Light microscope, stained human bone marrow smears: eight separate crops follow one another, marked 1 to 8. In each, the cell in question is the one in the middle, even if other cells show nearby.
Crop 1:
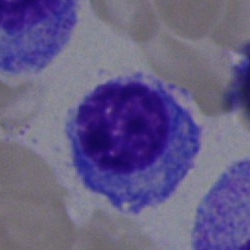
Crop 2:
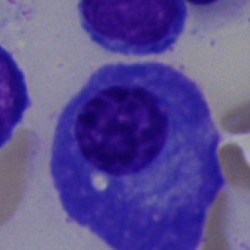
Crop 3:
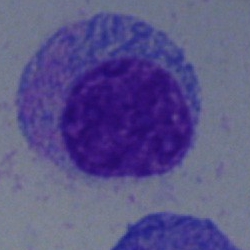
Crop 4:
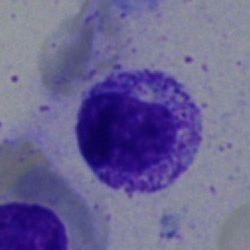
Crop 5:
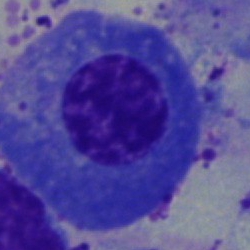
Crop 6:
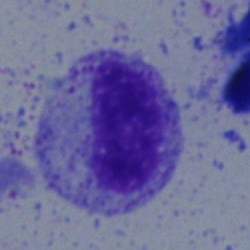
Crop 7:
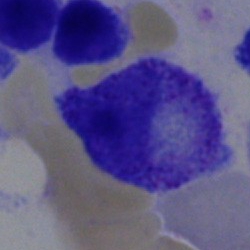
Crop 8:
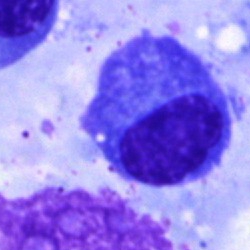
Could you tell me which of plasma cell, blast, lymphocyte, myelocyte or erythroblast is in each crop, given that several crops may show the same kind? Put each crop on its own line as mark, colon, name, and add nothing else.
1: plasma cell
2: plasma cell
3: myelocyte
4: myelocyte
5: plasma cell
6: myelocyte
7: myelocyte
8: plasma cell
